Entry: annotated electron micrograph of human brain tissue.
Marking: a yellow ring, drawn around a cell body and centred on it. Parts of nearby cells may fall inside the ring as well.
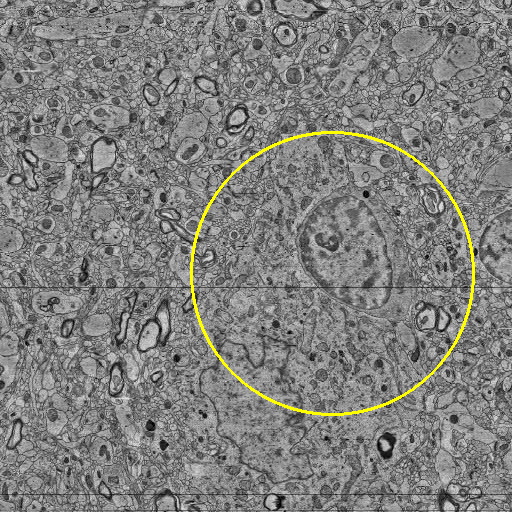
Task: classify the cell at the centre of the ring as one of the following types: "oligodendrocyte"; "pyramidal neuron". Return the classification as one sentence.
The marked cell is classified as an oligodendrocyte.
